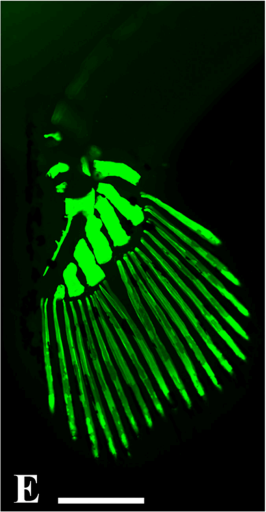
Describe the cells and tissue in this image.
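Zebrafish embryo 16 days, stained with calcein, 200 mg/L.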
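A fan of long, slender, segmented caudal rays spreads out from a curved row of plate-like supporting elements at the end of the vertebral column. The rays are unequal in brightness and some are irregular along their length, and the vertebrae in front of the fin are only faintly stained.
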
